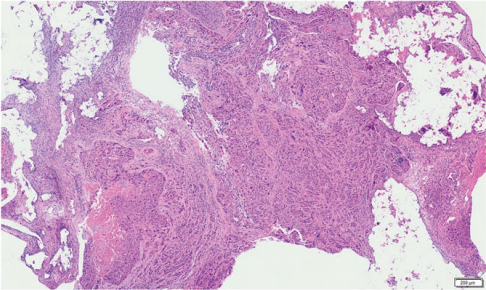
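This low-power section shows tumour tissue in which densely cellular areas with purple-stained nuclei alternate with pinker, more fibrous-looking areas. The cells lie in sheets and interlacing streams, giving the central mass a swirled texture. Pale, eosinophilic zones appear toward the lower left of the mass. At the margins, the section breaks up into loose, lacy tissue with empty spaces between strands.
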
